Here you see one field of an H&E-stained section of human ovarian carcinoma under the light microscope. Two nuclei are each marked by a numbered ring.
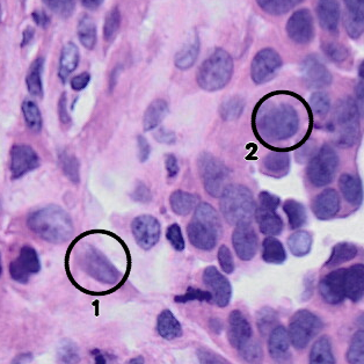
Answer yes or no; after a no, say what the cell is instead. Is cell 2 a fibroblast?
No, it is a carcinoma cell.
